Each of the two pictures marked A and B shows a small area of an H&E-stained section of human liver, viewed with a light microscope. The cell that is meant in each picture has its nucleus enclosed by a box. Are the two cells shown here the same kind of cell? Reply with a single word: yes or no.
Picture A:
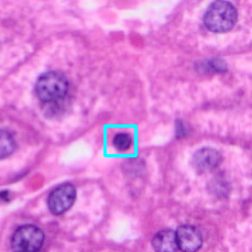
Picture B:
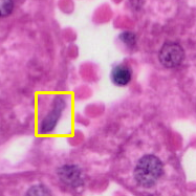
no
